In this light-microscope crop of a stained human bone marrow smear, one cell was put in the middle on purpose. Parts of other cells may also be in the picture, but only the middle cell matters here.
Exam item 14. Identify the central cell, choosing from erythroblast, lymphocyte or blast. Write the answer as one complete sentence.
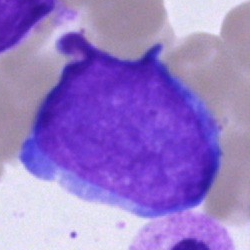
The single cell at the center of the crop is a blast.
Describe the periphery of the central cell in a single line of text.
The cell outline lacks smoothness, being ragged or extended into projections.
